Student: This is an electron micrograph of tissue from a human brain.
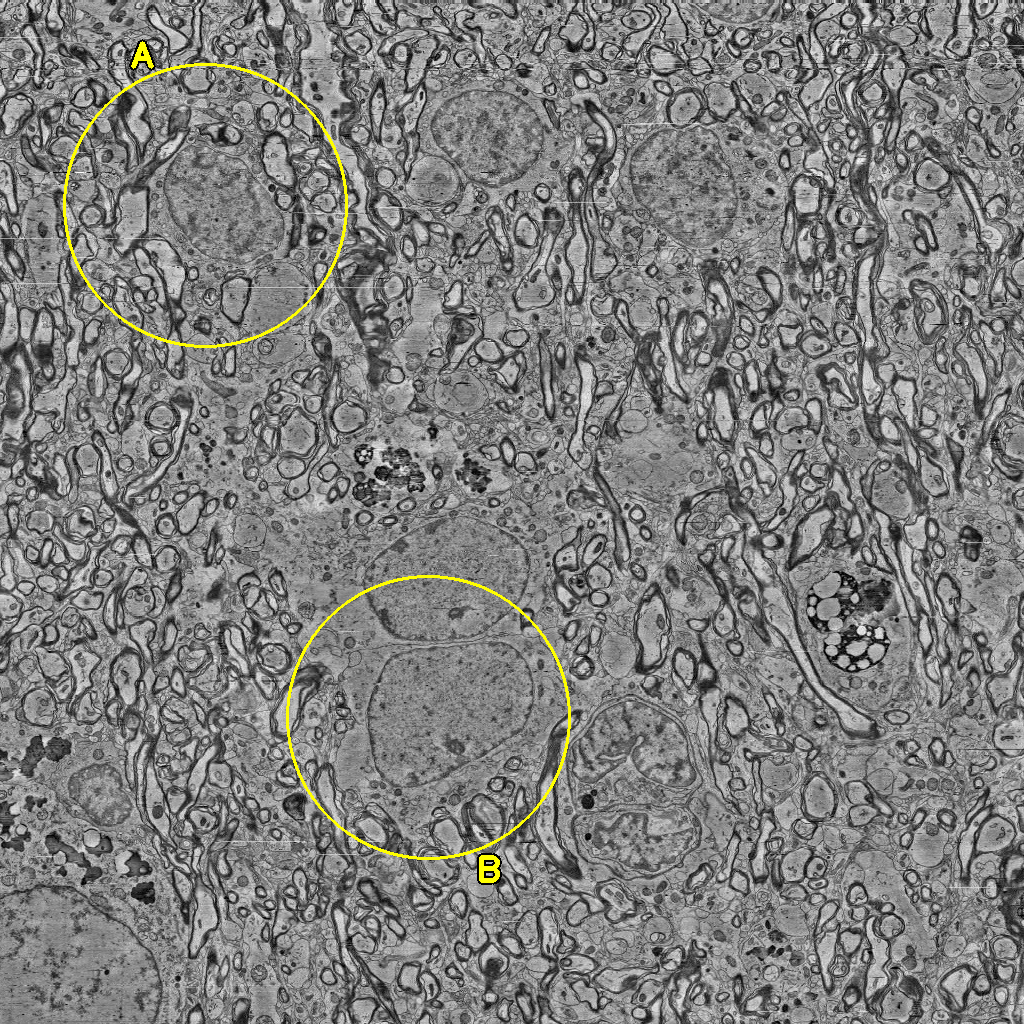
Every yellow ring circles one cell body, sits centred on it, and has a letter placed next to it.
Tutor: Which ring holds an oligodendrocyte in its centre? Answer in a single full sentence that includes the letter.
Ring A is the ring whose centre holds the cell asked for in the picture.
